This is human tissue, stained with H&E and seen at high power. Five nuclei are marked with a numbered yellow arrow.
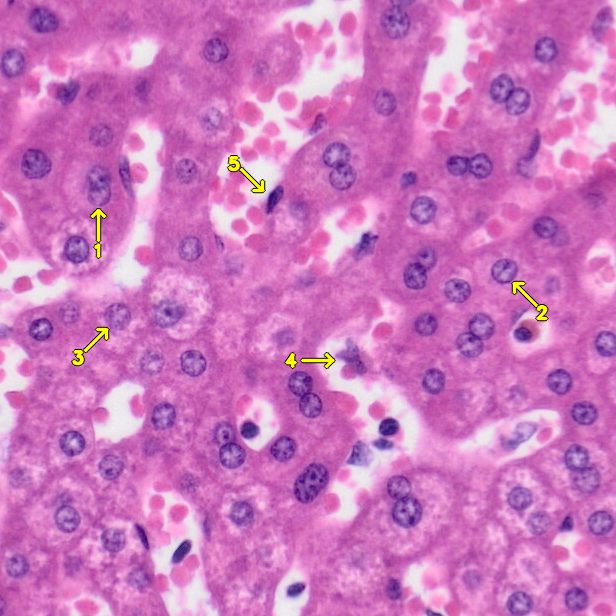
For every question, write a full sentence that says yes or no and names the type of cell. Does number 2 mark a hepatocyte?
Yes, the cell indicated by number 2 is a hepatocyte.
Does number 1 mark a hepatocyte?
Yes, the cell denoted by 1 is a hepatocyte.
